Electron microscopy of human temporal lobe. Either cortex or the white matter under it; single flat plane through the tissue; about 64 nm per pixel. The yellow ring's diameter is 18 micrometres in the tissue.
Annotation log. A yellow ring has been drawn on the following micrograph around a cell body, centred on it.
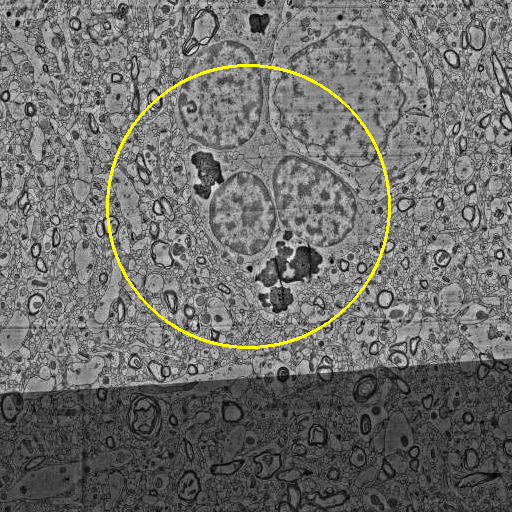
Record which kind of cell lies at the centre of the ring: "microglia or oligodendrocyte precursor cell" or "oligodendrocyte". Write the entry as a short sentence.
The cell the ring is centred on is an oligodendrocyte.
